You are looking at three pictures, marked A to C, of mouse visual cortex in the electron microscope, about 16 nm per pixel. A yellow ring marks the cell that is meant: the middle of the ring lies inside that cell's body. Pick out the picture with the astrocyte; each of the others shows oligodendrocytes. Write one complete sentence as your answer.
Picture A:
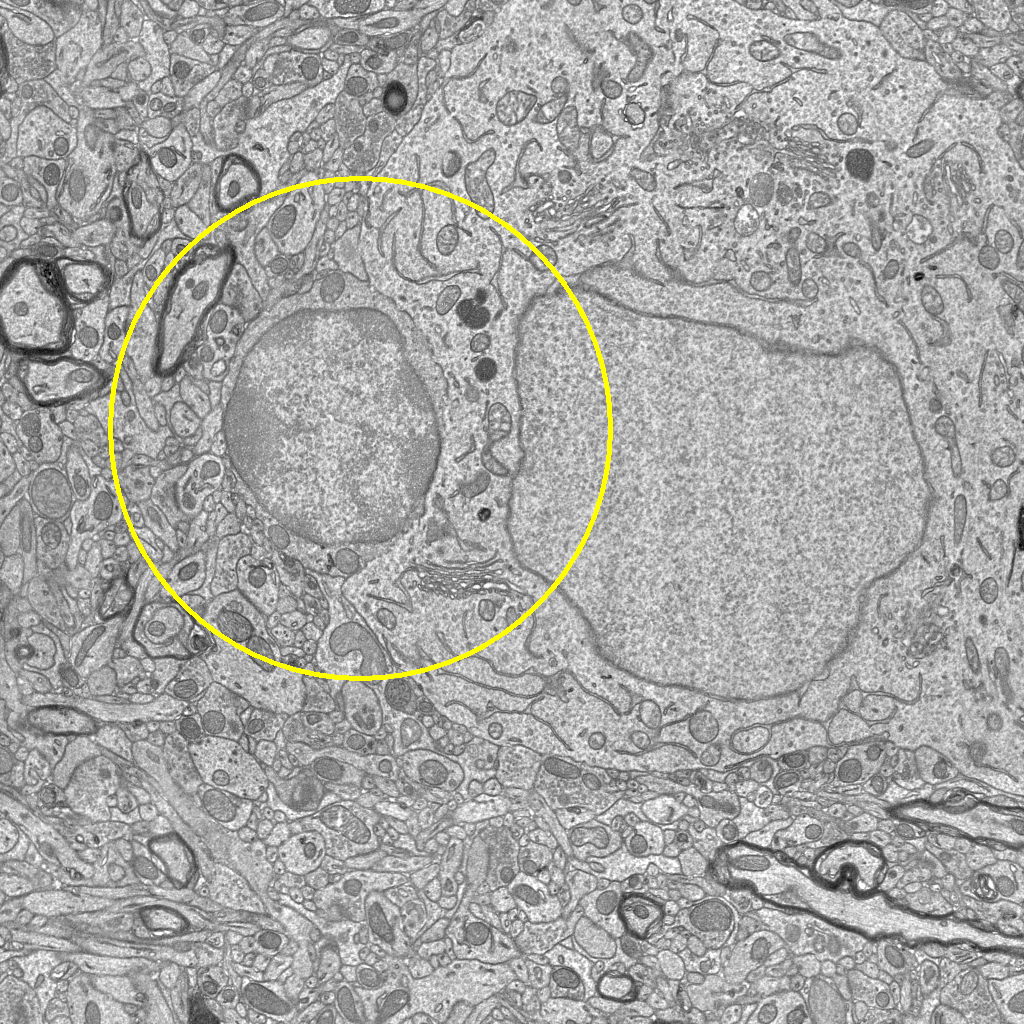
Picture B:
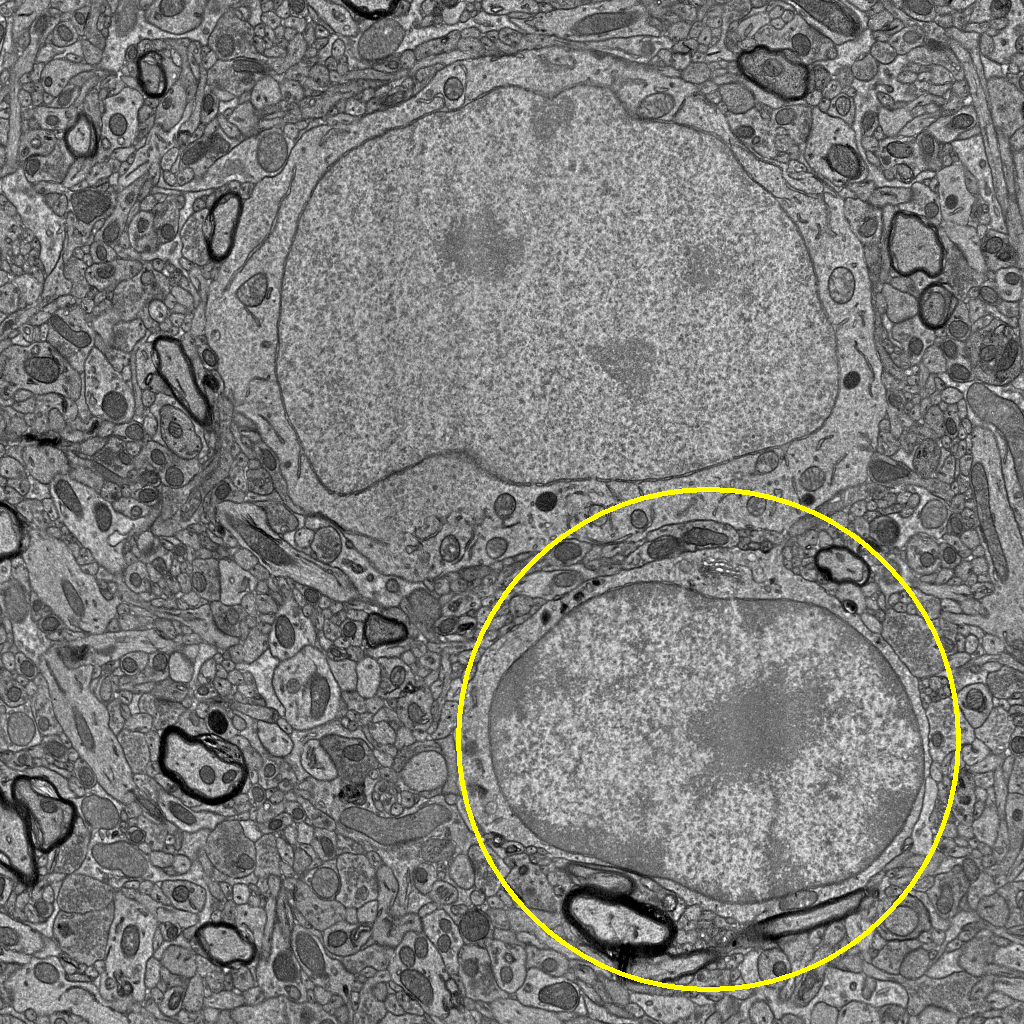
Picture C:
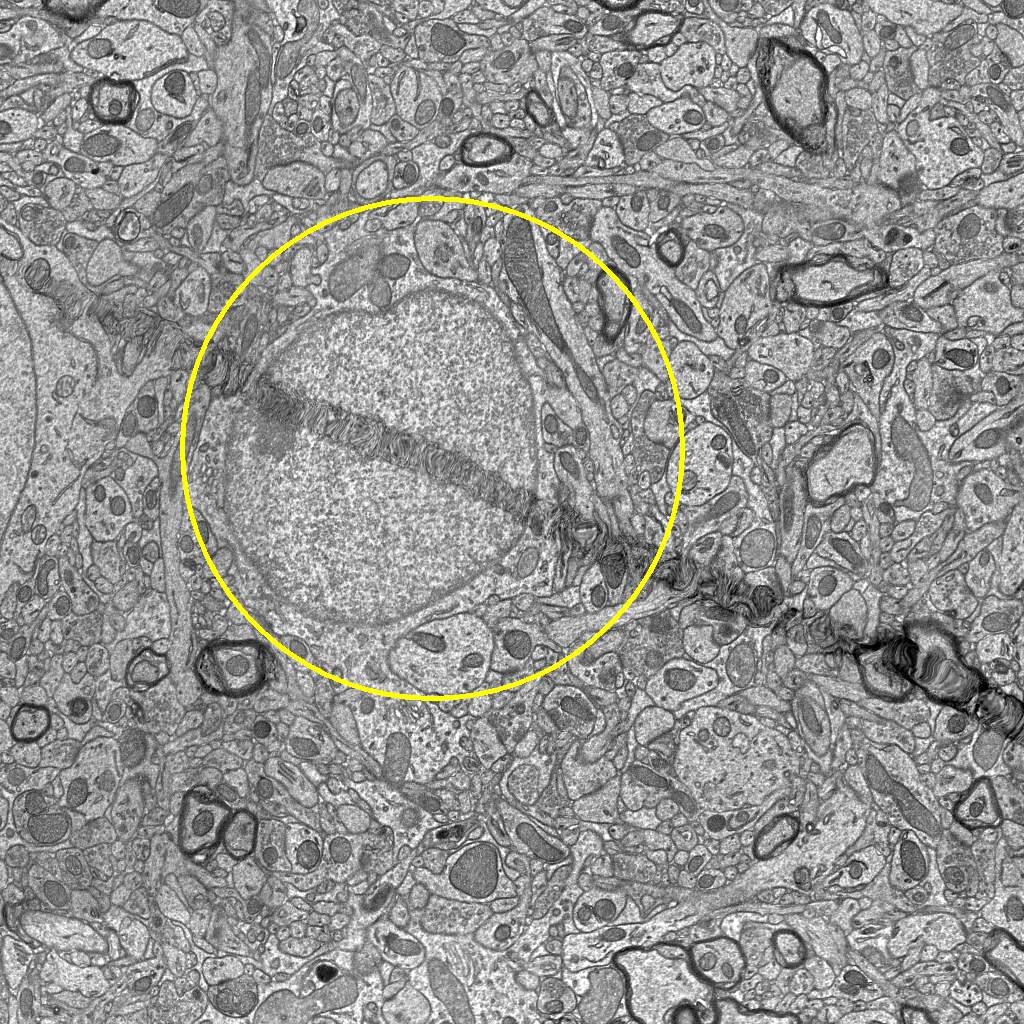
The cell in picture C is the astrocyte.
